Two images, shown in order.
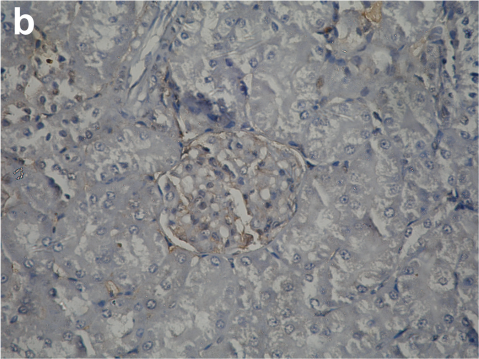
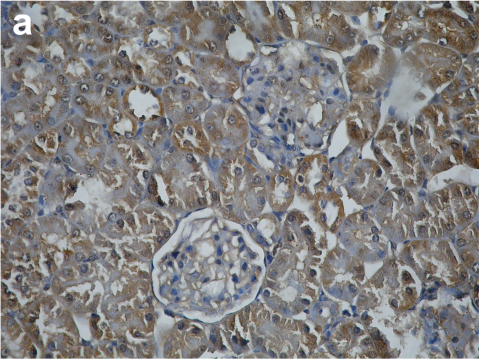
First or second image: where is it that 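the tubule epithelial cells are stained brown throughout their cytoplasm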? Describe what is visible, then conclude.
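First image: tubules are pale grey-blue with almost no brown. Second image: tubule cell cytoplasm is broadly brown around blue nuclei. So: the second image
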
